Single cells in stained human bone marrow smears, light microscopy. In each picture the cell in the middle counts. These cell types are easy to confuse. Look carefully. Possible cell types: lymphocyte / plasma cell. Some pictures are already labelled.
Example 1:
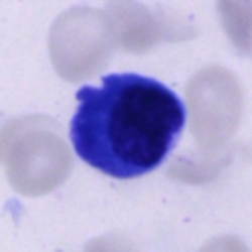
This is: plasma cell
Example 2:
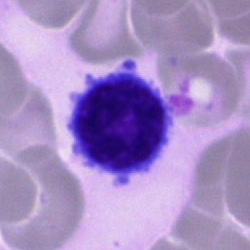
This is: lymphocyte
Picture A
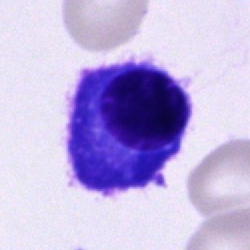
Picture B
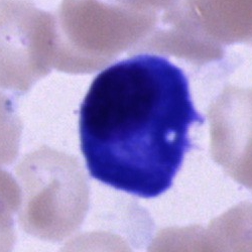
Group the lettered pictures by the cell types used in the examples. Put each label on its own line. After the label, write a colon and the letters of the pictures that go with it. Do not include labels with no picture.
plasma cell: A, B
